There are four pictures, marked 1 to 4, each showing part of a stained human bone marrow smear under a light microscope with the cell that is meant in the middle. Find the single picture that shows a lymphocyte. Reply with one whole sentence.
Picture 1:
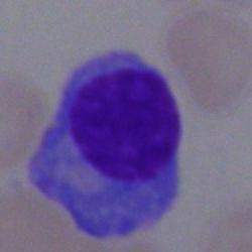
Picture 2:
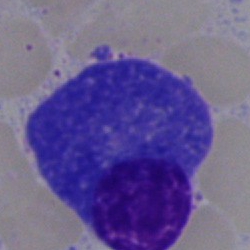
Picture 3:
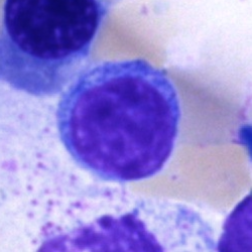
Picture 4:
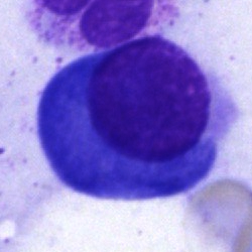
Picture 3 shows the lymphocyte.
